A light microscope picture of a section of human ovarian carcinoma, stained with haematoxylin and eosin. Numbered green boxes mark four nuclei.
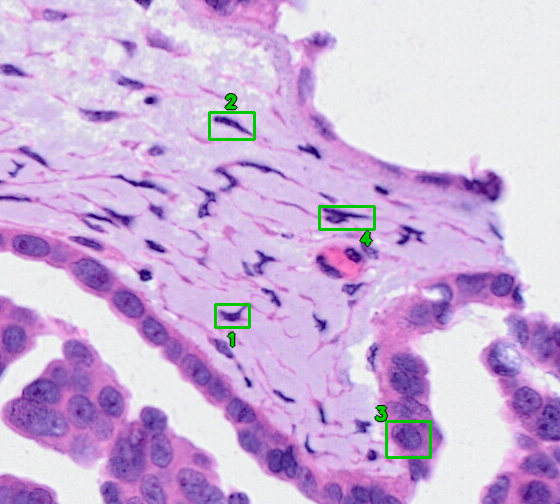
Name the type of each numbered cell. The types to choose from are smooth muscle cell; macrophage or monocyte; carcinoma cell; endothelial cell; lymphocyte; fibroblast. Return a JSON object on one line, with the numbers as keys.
{"1": "fibroblast", "2": "fibroblast", "3": "carcinoma cell", "4": "fibroblast"}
